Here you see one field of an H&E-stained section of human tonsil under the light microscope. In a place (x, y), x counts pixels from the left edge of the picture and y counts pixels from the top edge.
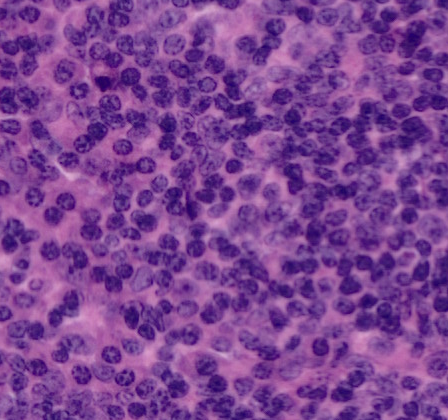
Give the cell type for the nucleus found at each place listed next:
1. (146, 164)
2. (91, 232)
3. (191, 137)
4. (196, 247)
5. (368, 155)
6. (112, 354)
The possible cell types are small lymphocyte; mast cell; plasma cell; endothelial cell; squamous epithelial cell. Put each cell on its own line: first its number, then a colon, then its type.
1: plasma cell
2: plasma cell
3: small lymphocyte
4: small lymphocyte
5: small lymphocyte
6: plasma cell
